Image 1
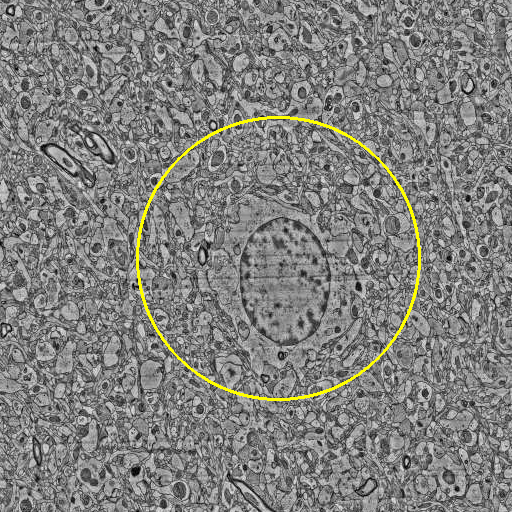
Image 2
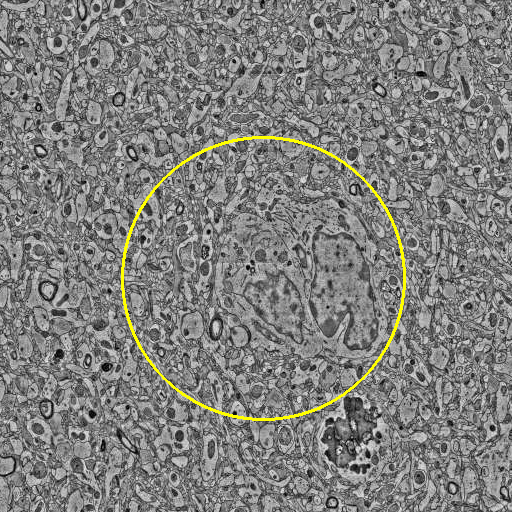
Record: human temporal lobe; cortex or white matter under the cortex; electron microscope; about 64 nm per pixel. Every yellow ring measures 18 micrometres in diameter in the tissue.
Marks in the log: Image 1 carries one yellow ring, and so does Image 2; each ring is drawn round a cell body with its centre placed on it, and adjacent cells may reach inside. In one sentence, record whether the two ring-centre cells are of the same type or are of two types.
The two cells at the ring centres, one in each image, are of two types.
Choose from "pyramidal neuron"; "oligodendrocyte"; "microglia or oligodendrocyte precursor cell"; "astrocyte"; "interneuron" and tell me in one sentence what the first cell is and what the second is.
What the first ring is centred on is an astrocyte; what the second ring is centred on is an interneuron.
